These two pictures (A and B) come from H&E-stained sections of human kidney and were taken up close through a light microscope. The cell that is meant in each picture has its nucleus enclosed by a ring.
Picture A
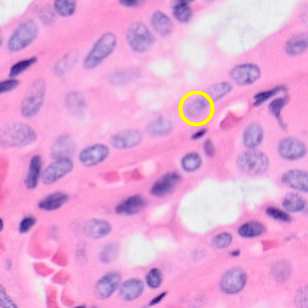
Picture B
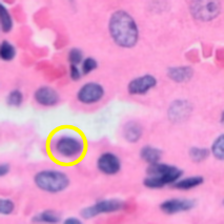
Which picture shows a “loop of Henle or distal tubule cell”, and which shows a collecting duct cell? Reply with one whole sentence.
Picture A shows a collecting duct cell and picture B shows a “loop of Henle or distal tubule cell”.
